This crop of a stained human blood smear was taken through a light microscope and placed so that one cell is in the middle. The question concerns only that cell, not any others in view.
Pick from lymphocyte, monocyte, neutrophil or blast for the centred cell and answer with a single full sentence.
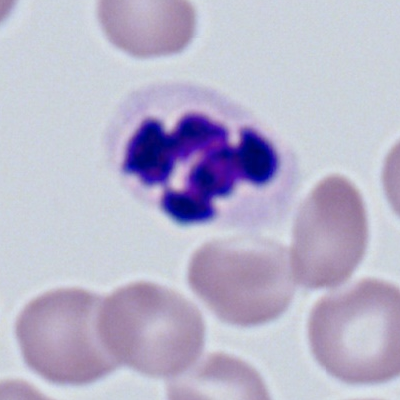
This crop is built around a neutrophil at its centre.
